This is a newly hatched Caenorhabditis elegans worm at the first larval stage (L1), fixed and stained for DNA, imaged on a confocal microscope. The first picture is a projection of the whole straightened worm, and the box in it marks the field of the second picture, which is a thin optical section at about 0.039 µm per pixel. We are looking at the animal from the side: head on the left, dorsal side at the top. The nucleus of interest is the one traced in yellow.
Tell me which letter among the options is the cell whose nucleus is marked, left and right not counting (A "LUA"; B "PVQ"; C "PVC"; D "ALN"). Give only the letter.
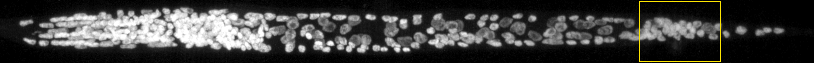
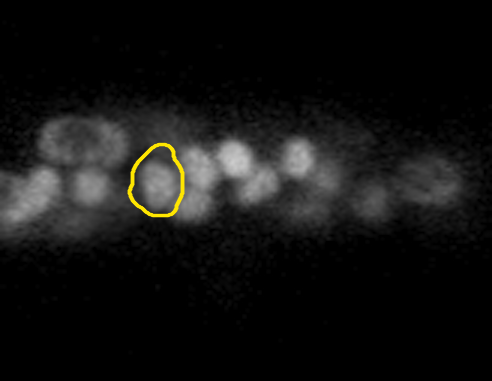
B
